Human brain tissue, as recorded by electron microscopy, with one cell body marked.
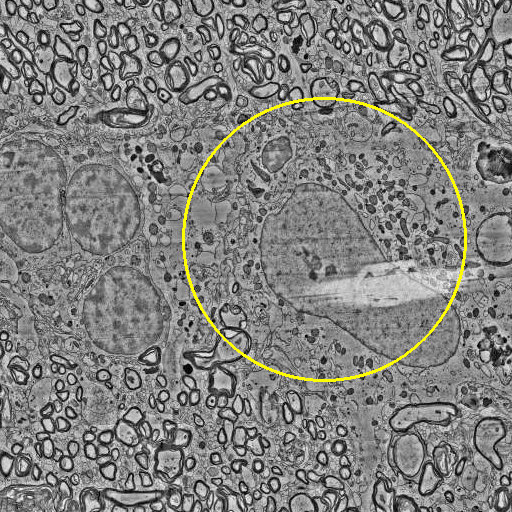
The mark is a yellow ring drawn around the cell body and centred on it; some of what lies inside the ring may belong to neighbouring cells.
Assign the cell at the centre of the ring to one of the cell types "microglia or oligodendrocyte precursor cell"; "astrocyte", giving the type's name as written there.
astrocyte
